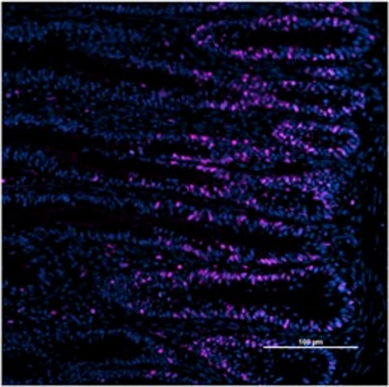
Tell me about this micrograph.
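The pink label sits on the nuclei themselves. The pink nuclei gather in the epithelium toward the right end of the tubes, near the deep closed ends, while the epithelium farther to the left carries few or none. Between the tubes lie thinner strips of connective tissue with scattered blue nuclei.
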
